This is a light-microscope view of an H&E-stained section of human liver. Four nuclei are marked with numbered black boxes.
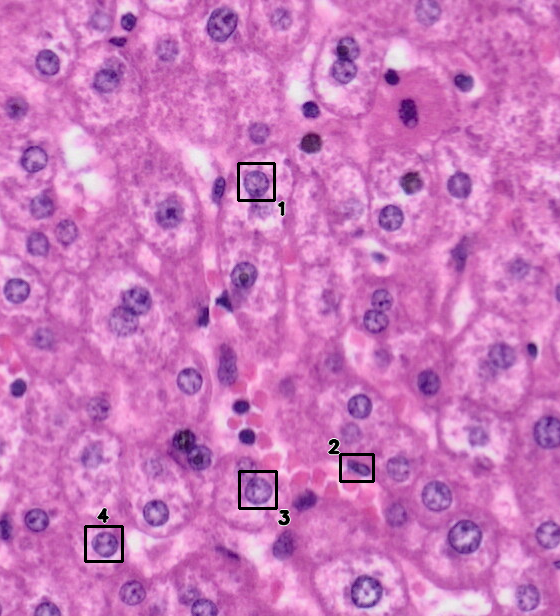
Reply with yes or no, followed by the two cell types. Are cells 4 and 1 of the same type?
Yes, both are hepatocytes.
